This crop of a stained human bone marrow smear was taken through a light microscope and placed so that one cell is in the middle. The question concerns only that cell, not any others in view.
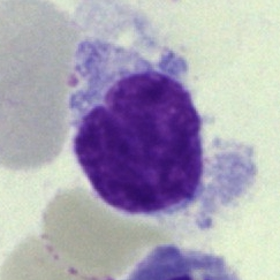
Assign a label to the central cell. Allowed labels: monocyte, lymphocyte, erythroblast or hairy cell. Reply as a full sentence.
The cell at the heart of this crop is a hairy cell.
